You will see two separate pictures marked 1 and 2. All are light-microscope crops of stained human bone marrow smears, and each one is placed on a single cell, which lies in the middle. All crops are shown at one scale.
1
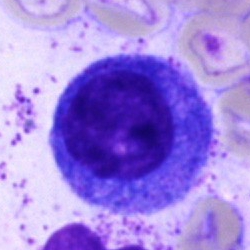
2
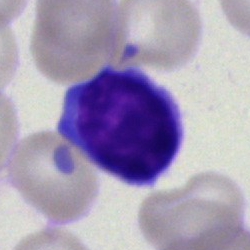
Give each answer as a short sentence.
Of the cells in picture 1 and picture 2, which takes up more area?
Larger is the cell in picture 1, at roughly 2 times the area of the other.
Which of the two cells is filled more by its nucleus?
In picture 2 the nucleus takes up the larger part of its cell.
